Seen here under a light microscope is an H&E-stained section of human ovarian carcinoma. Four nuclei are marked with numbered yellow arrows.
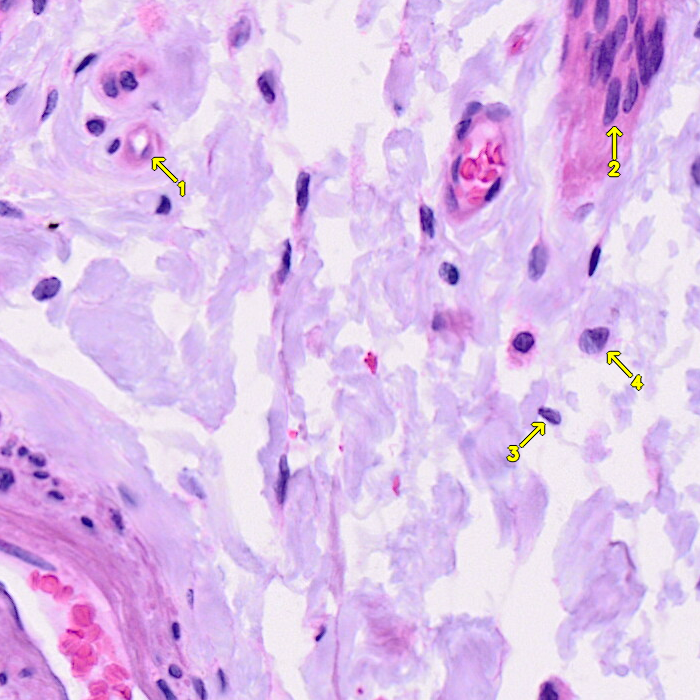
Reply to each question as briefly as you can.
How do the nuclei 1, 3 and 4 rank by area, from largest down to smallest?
4, 3, 1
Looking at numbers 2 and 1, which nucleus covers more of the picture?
2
